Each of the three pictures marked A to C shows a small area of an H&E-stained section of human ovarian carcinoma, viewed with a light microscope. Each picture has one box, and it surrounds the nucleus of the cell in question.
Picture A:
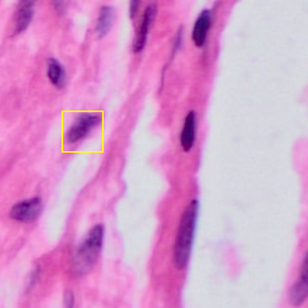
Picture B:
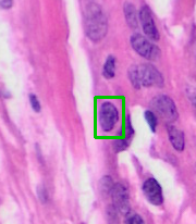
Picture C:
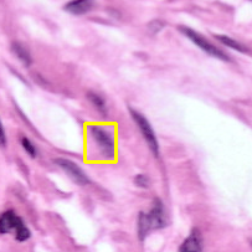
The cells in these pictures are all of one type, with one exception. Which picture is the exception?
B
